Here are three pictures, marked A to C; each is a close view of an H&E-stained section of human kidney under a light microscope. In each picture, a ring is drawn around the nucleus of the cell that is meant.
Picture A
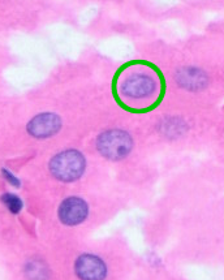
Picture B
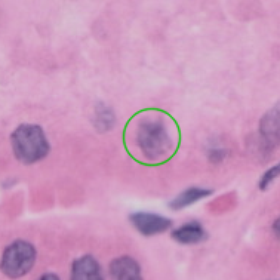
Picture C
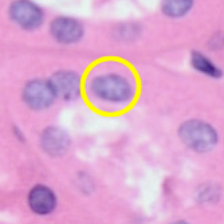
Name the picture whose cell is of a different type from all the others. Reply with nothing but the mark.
C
